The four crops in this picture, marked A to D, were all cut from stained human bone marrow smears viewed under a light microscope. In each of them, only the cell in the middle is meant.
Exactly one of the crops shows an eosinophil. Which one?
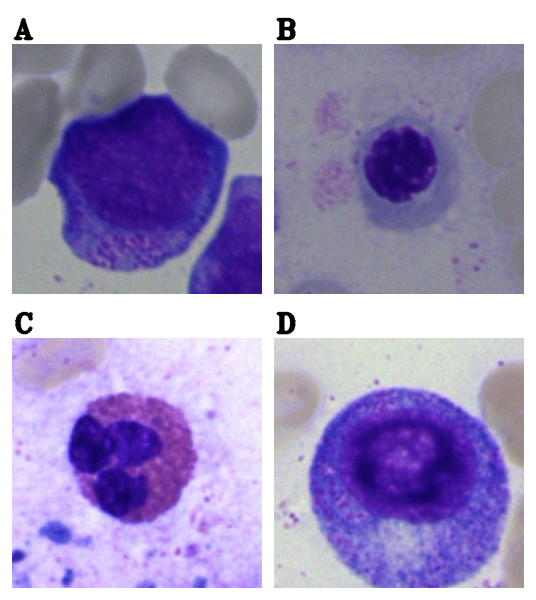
C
